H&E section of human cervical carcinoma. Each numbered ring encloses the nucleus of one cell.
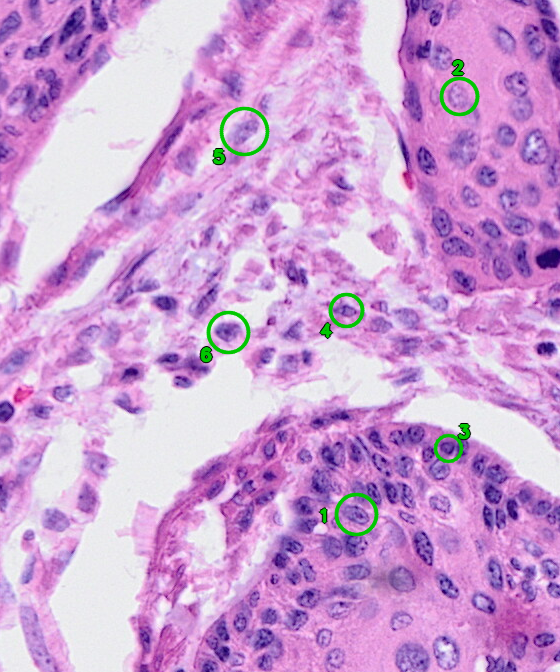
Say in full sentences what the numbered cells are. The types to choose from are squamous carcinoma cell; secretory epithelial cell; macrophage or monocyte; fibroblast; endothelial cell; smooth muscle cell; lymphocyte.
Cell 1 is a squamous carcinoma cell, cell 2 is a squamous carcinoma cell, cell 3 is a squamous carcinoma cell, cell 4 is a fibroblast, cell 5 is a fibroblast and cell 6 is a macrophage or monocyte.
